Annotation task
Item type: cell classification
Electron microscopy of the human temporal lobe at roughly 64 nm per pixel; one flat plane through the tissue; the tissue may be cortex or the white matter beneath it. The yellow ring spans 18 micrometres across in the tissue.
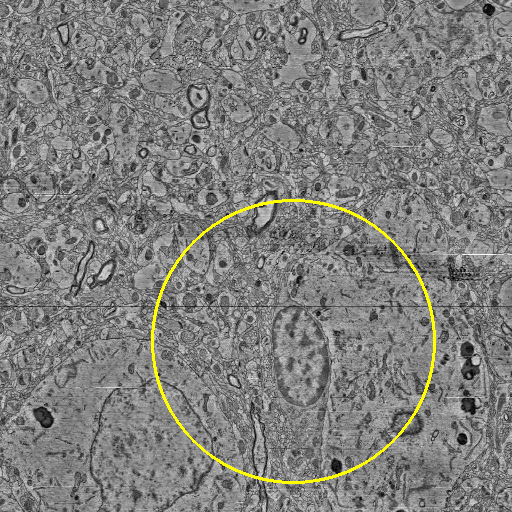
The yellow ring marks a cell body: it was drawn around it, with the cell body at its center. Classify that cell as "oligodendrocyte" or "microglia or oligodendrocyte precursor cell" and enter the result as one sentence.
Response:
The ring's center falls on an oligodendrocyte.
